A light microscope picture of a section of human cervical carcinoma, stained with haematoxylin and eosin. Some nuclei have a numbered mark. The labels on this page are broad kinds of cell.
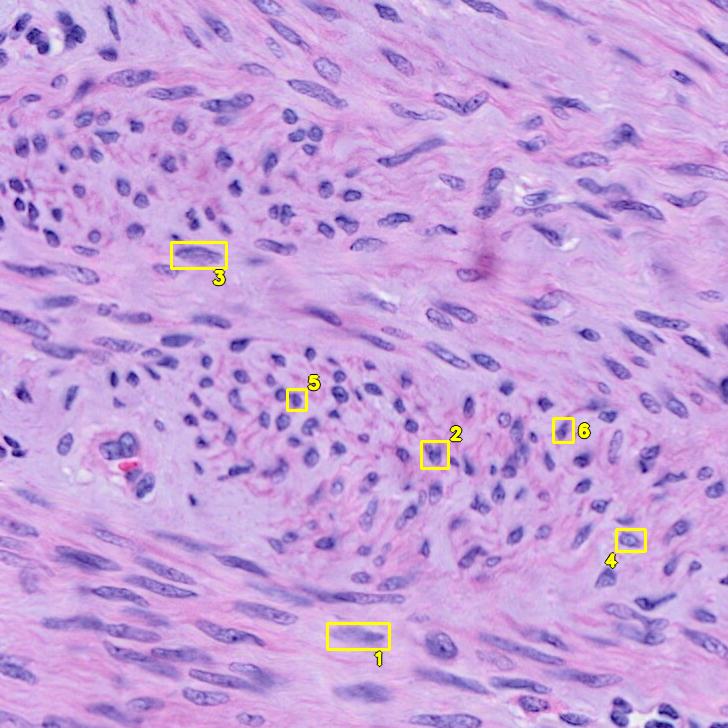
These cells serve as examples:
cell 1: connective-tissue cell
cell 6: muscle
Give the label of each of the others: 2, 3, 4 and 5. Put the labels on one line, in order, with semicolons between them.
muscle; connective-tissue cell; muscle; muscle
